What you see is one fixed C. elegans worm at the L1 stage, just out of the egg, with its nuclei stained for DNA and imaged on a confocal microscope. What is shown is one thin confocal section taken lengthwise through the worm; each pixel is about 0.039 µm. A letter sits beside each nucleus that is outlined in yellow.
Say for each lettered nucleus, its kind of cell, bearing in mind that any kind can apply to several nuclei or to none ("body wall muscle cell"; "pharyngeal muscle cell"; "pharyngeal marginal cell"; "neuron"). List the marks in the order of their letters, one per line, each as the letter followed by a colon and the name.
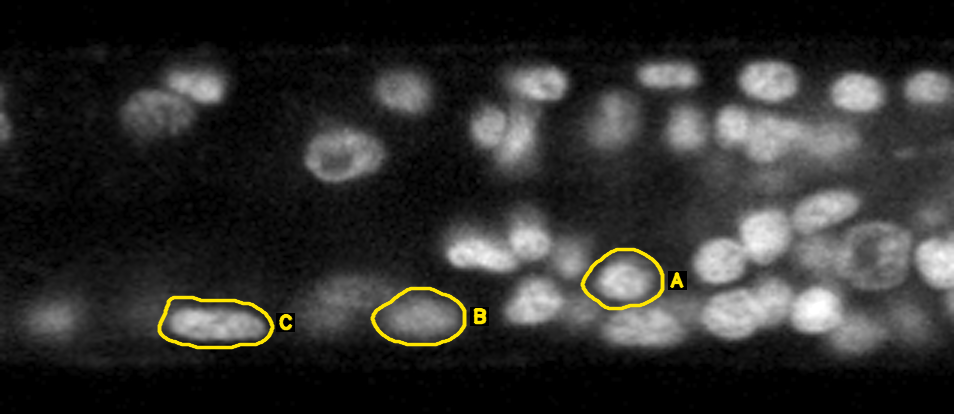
A: pharyngeal marginal cell
B: neuron
C: body wall muscle cell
